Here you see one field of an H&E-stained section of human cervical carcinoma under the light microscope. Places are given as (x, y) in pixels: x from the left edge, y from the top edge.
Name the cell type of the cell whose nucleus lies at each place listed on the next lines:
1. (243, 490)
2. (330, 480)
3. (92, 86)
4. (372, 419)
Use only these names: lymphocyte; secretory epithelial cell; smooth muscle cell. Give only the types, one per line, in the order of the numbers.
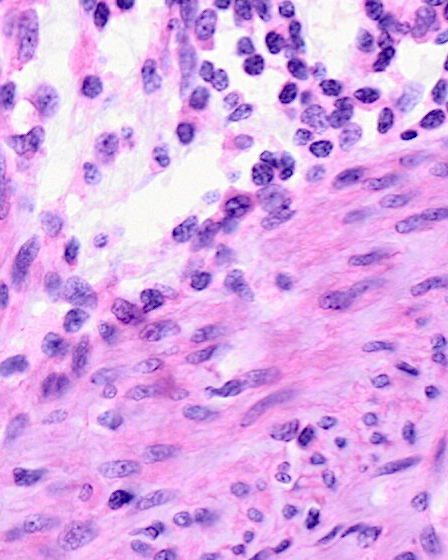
smooth muscle cell
smooth muscle cell
lymphocyte
smooth muscle cell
